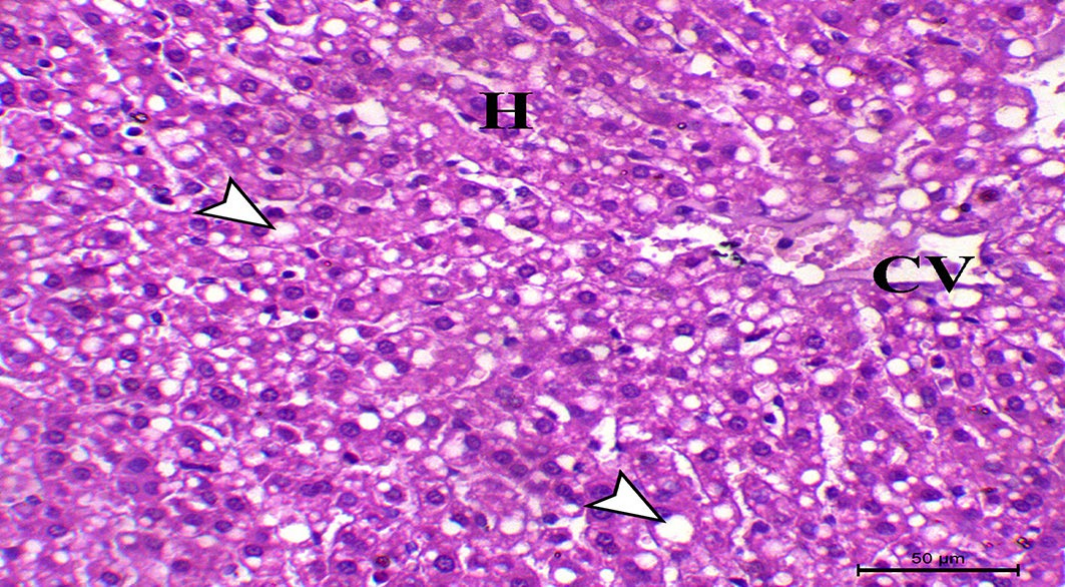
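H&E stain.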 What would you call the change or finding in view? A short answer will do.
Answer: marked hepatic vacuolation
